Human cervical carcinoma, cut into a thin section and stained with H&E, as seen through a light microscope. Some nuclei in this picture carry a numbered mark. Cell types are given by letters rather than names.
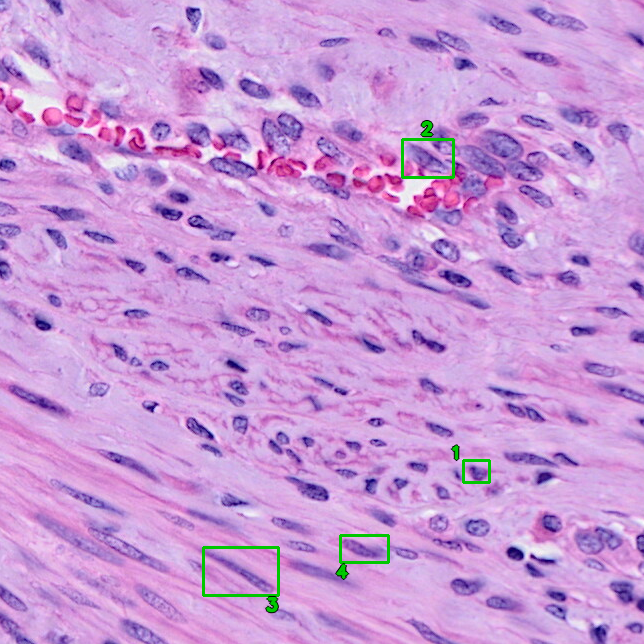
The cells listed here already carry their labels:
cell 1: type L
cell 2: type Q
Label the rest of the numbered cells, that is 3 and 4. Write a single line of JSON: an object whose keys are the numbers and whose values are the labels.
{"3": "type L", "4": "type L"}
